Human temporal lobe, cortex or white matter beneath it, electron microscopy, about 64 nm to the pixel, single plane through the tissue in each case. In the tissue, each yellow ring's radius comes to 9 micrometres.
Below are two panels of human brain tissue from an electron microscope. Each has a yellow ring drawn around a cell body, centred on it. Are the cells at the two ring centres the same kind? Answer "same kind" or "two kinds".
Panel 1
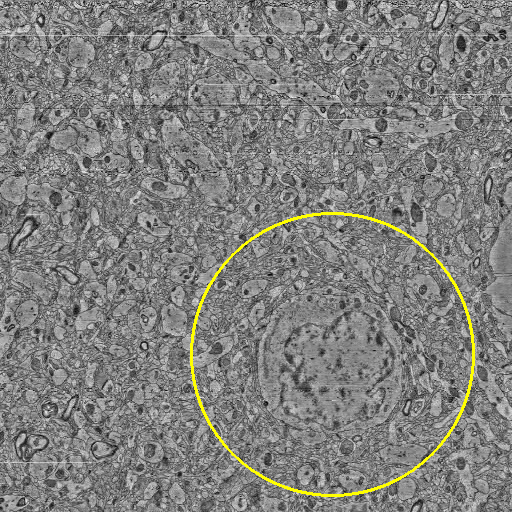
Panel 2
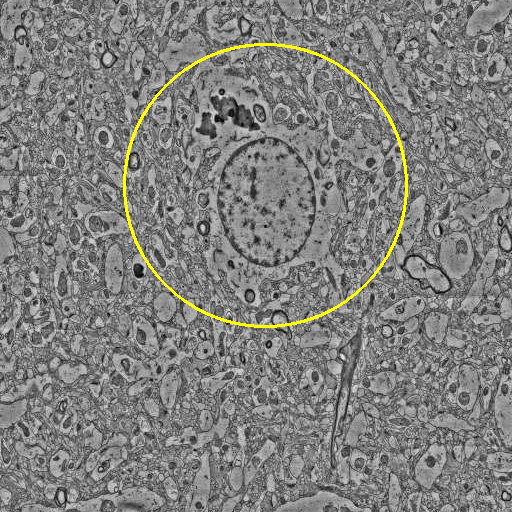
two kinds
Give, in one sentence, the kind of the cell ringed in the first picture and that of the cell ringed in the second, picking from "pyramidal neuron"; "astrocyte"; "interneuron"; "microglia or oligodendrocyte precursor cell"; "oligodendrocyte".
For the first picture it is an interneuron; for the second, an astrocyte.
